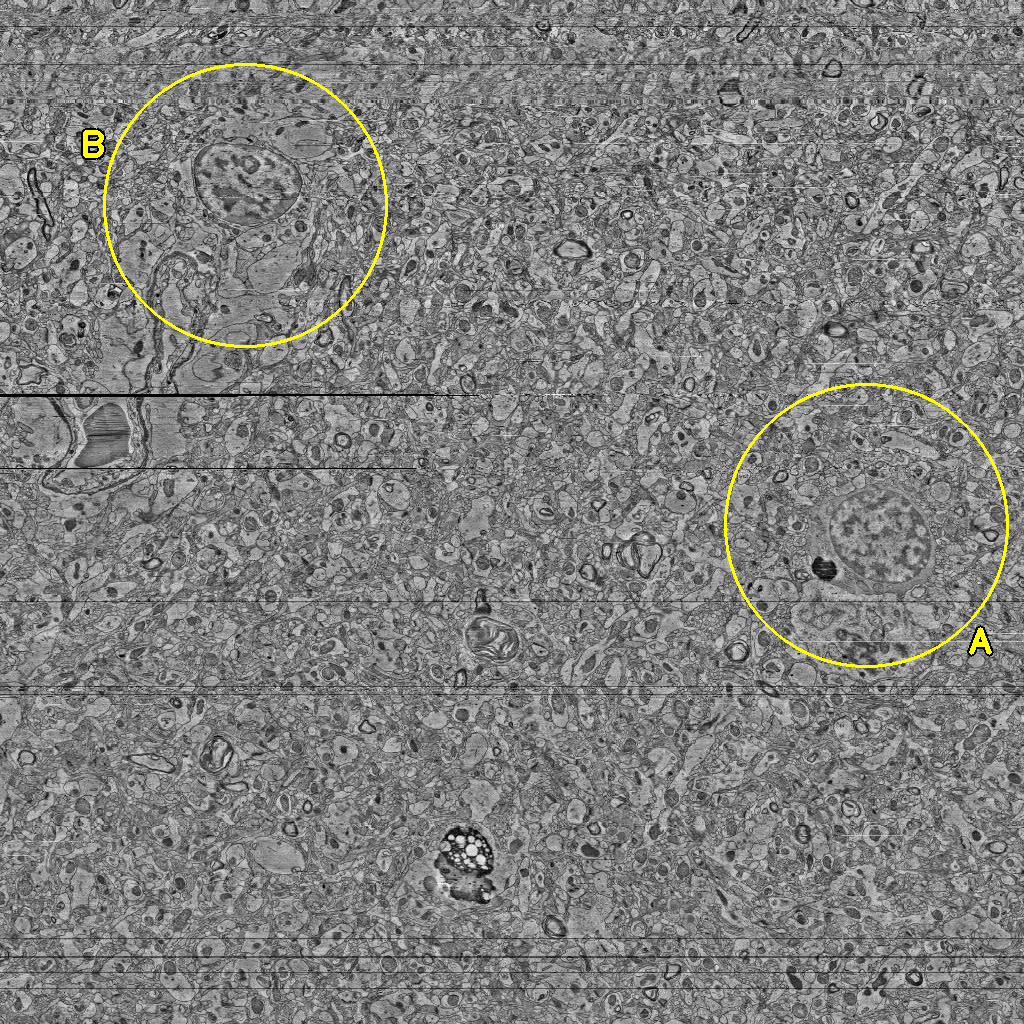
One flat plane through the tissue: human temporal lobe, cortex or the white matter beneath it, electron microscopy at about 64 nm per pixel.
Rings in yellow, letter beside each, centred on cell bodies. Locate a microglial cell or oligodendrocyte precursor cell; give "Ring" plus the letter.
Ring B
